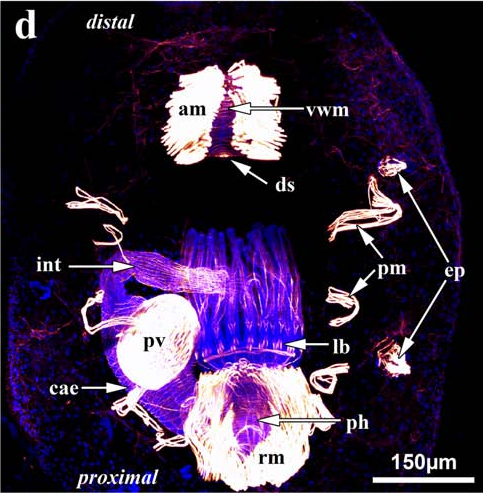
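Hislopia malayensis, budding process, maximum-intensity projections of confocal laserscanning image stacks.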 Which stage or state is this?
Almost completely developed zooid.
